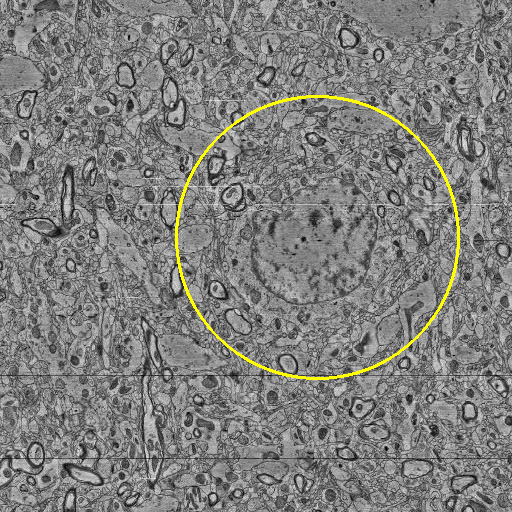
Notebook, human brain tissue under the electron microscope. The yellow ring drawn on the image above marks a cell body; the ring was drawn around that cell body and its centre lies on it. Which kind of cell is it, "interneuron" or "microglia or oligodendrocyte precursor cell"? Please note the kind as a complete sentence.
The marked cell body is that of an interneuron.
